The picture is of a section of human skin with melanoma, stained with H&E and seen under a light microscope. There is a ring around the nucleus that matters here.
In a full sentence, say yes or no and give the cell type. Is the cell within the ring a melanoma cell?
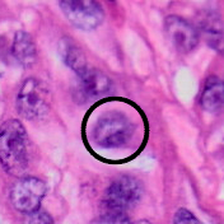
Yes, the description of the cell within the ring as a melanoma cell is accurate.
